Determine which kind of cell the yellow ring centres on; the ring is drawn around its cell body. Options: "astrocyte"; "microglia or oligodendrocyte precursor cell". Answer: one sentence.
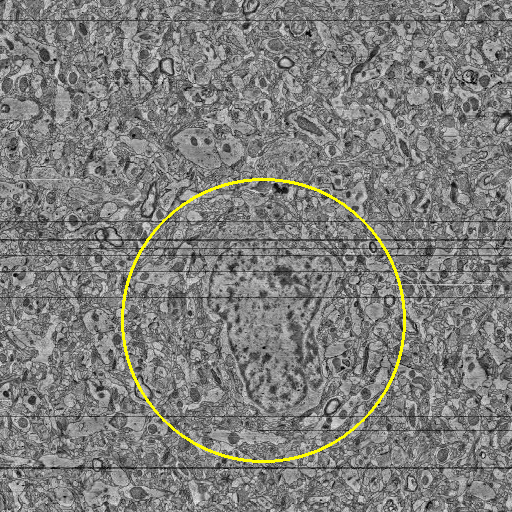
The ring centres on a microglial cell or oligodendrocyte precursor cell.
